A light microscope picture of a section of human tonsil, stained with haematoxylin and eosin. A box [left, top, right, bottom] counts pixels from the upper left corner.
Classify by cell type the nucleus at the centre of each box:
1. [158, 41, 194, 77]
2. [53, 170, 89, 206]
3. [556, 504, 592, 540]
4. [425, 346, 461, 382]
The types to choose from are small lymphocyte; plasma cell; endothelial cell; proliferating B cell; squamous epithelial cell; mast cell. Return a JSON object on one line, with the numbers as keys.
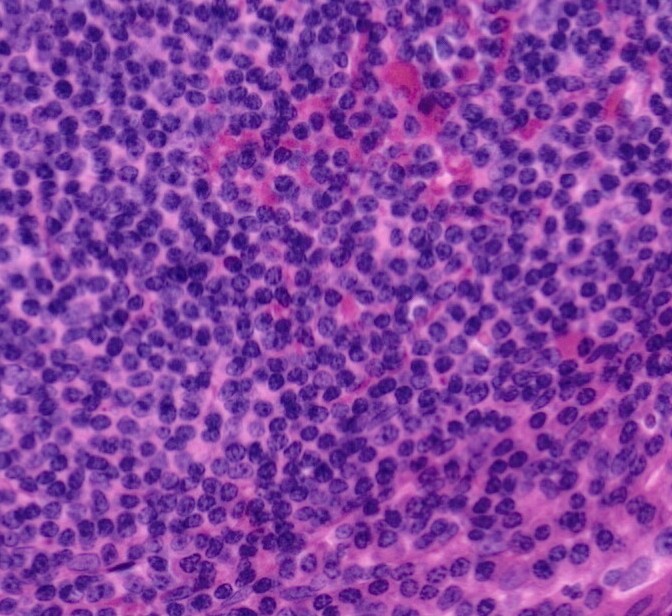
{"1": "small lymphocyte", "2": "small lymphocyte", "3": "plasma cell", "4": "small lymphocyte"}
